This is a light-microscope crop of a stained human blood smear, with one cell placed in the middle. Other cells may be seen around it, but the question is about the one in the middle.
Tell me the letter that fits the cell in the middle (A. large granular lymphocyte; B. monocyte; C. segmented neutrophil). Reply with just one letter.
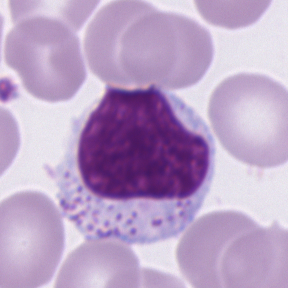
A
